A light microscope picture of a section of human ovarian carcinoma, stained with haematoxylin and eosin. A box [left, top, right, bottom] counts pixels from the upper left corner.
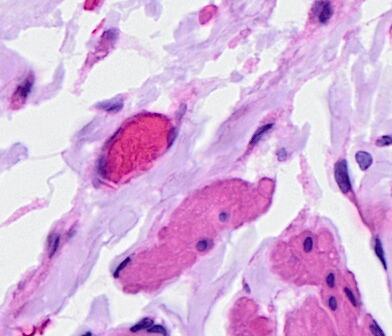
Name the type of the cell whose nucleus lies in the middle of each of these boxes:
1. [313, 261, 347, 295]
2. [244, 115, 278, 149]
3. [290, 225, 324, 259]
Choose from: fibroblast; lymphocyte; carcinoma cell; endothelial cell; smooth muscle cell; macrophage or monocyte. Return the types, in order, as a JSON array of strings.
["smooth muscle cell", "fibroblast", "smooth muscle cell"]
